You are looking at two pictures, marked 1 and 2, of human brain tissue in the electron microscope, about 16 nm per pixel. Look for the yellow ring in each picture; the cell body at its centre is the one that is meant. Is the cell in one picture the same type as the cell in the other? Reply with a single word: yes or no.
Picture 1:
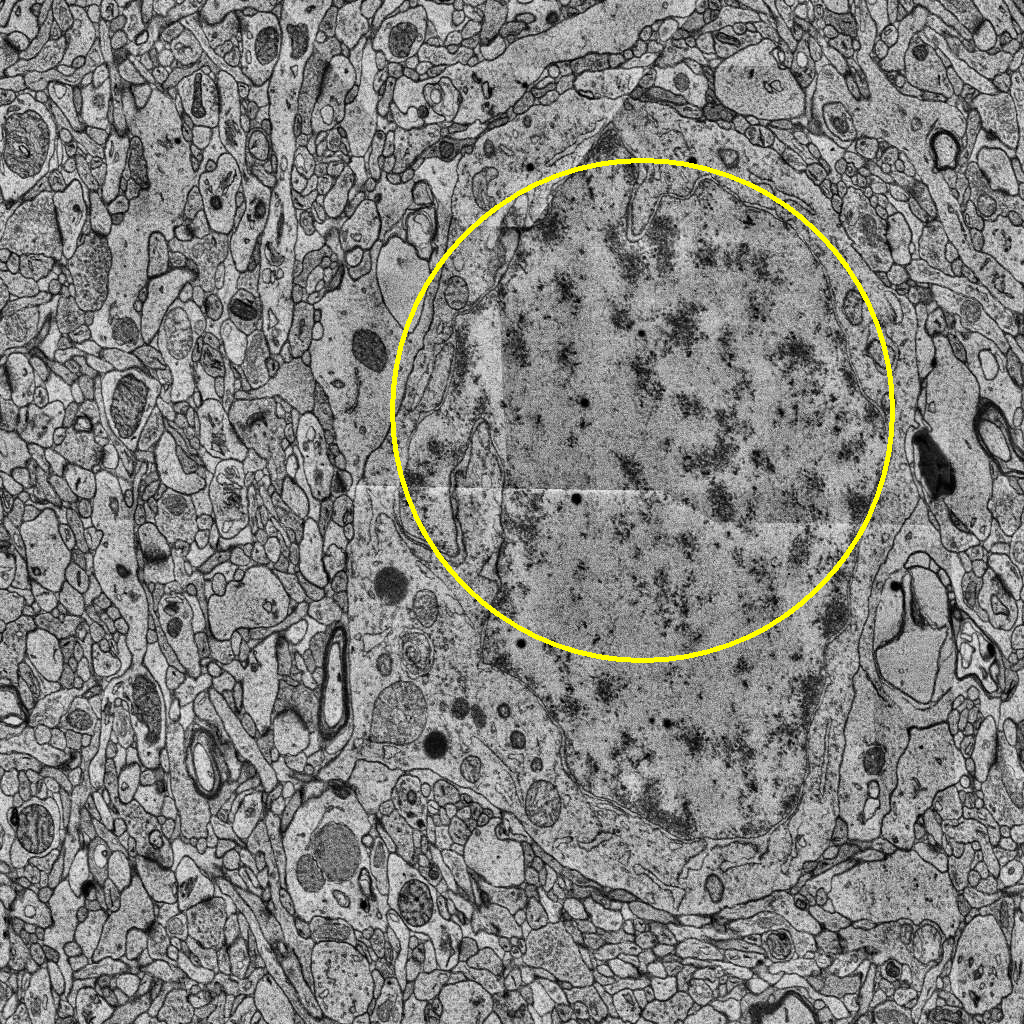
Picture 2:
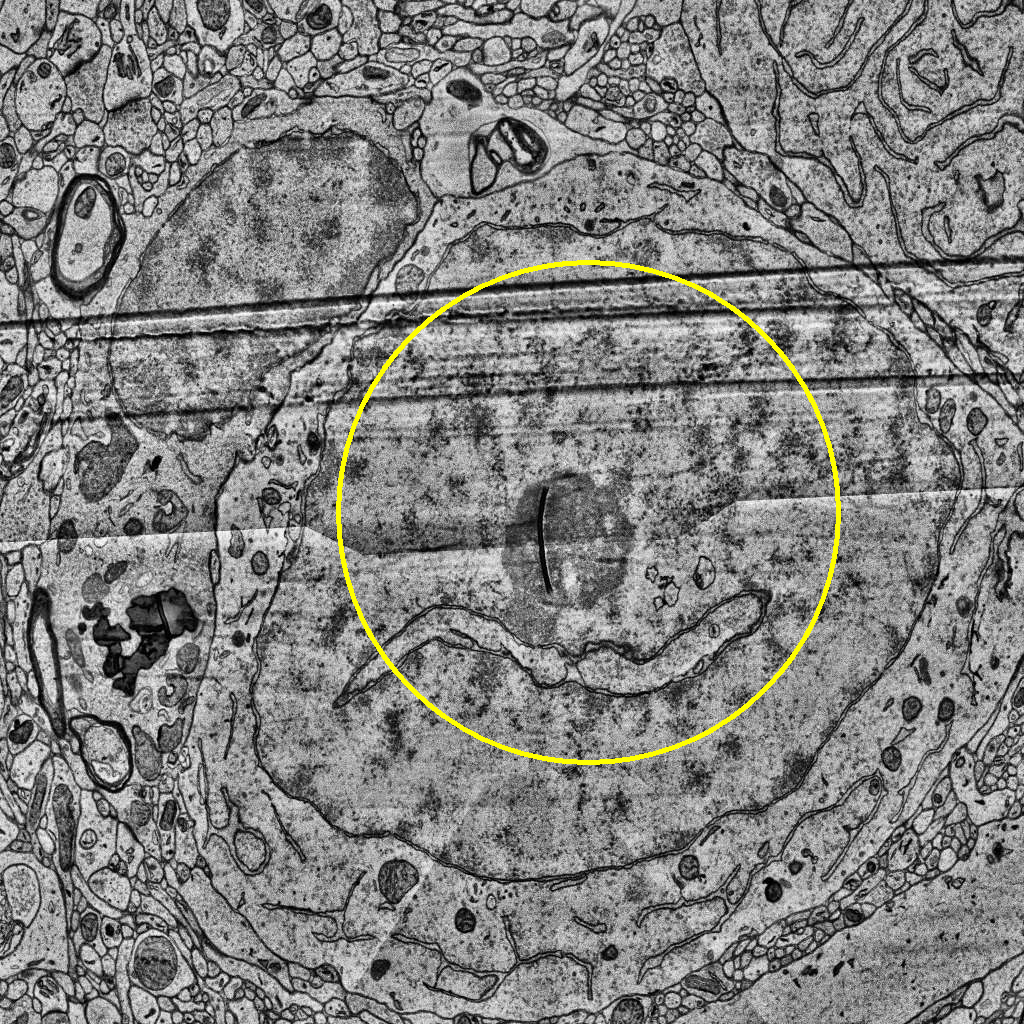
yes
